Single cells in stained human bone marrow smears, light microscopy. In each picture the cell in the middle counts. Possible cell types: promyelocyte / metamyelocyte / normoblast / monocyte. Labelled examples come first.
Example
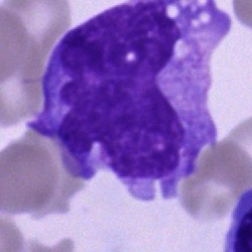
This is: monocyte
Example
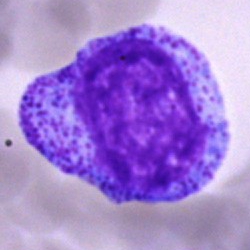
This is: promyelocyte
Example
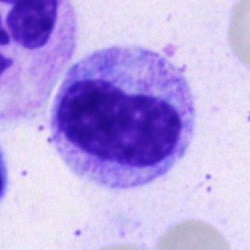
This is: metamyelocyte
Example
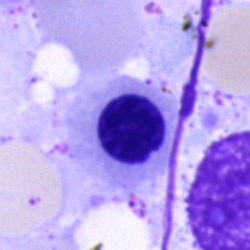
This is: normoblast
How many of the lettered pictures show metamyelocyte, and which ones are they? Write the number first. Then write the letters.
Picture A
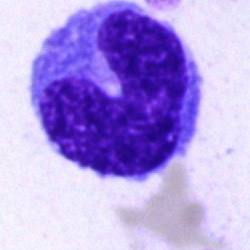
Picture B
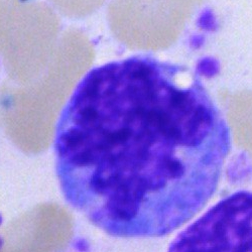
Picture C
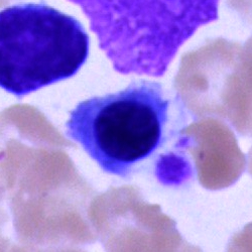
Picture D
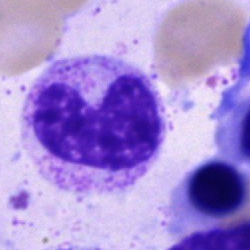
Count: 1 (D)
